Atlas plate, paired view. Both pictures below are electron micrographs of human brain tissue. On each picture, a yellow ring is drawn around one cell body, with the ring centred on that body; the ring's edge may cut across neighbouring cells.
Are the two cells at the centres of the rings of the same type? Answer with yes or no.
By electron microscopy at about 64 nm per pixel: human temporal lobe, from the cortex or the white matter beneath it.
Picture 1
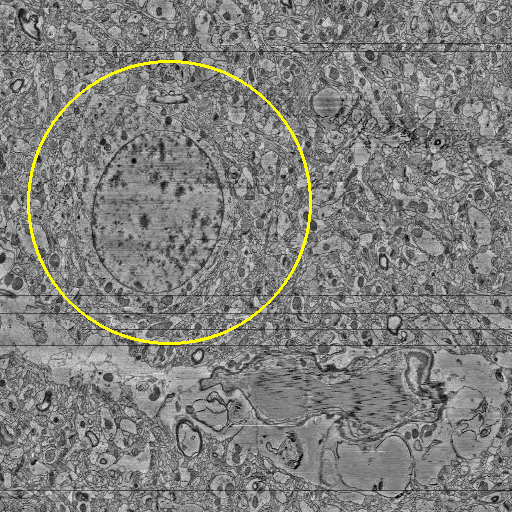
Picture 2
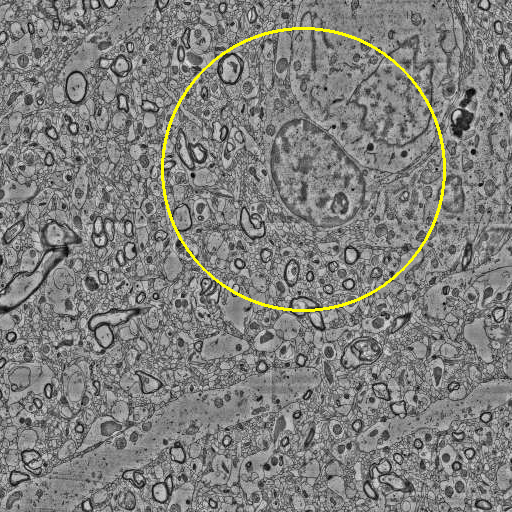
no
